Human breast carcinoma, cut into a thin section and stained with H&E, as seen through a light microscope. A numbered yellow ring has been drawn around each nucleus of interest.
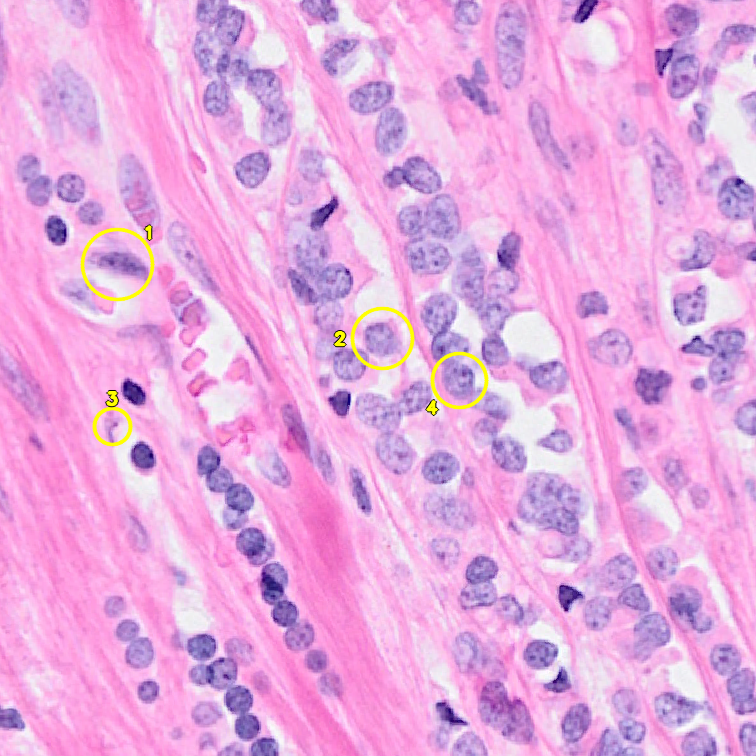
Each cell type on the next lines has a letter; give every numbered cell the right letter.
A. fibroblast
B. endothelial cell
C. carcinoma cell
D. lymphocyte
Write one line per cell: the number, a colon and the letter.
1: B
2: C
3: A
4: C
